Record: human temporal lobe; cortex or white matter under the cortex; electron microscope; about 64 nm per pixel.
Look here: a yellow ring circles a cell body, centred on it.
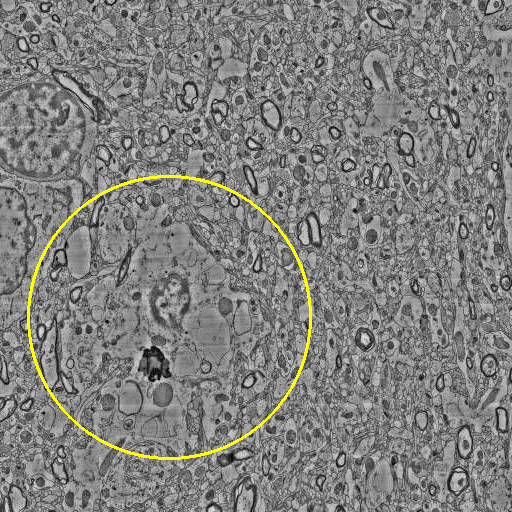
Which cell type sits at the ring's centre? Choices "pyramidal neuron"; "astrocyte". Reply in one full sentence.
The cell at the centre of the yellow ring in the picture is an astrocyte.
